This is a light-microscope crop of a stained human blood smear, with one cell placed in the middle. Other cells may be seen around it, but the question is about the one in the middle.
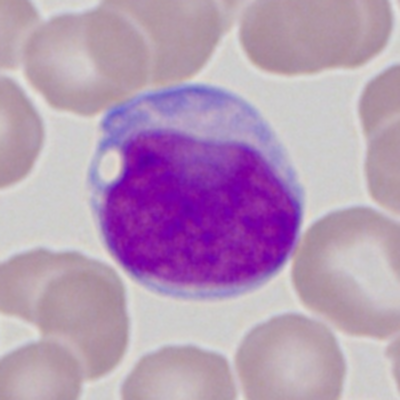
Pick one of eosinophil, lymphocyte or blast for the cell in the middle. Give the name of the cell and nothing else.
blast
